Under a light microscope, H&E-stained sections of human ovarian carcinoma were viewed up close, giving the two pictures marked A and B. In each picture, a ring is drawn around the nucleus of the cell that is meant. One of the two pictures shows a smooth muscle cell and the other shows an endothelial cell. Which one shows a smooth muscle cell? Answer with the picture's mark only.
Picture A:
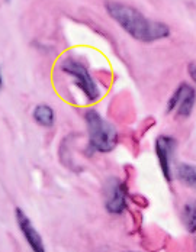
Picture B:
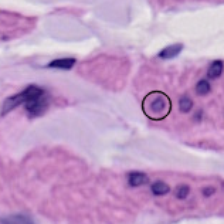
B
